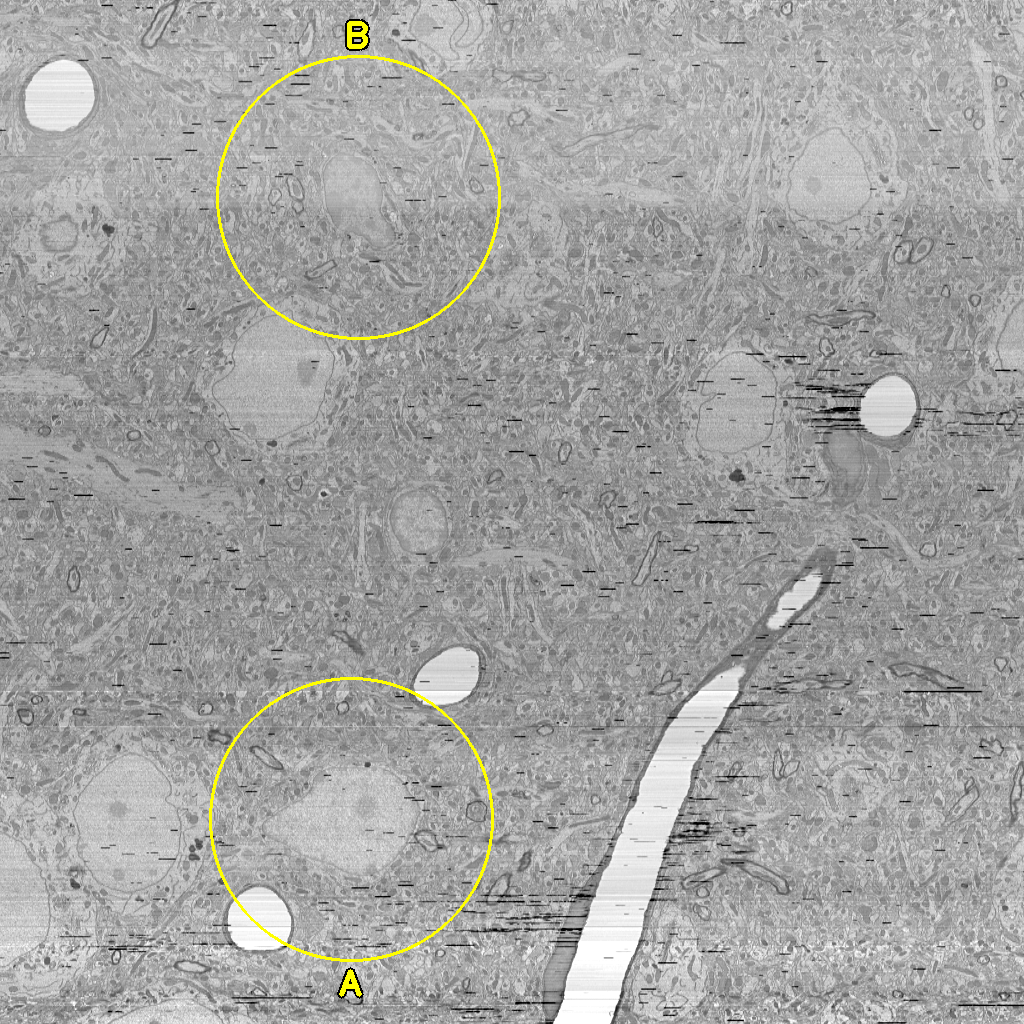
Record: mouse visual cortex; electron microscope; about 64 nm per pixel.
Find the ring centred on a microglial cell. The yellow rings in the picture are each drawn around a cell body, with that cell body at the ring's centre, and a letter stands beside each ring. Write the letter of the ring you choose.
B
